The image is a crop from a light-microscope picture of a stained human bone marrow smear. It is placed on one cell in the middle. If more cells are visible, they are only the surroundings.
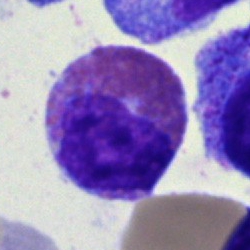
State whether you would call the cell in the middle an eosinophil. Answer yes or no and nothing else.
yes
